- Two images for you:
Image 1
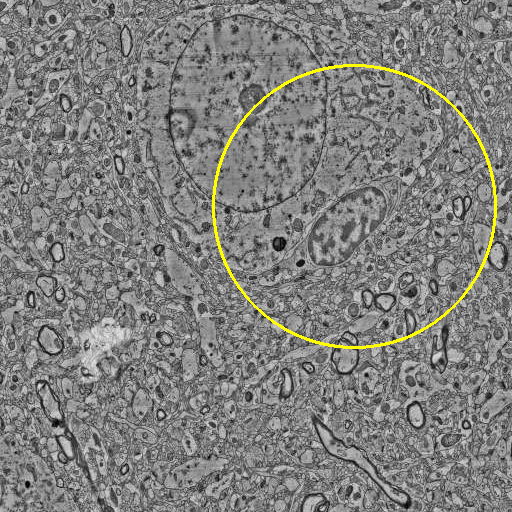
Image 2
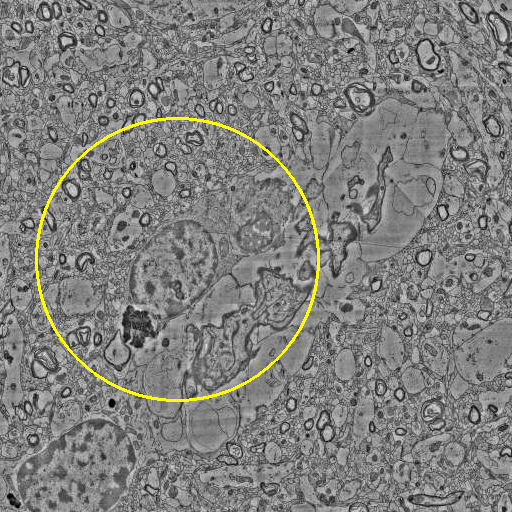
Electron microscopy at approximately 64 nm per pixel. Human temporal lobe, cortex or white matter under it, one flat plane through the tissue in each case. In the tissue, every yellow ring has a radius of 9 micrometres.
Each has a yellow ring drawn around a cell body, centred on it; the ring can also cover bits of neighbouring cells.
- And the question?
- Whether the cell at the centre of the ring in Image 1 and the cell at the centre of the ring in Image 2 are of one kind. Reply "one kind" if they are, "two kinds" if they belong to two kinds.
two kinds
